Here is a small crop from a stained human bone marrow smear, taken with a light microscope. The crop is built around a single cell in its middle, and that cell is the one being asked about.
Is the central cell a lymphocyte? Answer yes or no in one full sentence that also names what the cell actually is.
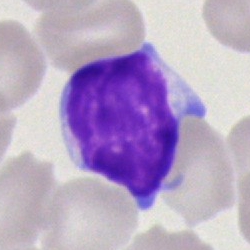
Yes, the cell in the exact middle is a lymphocyte.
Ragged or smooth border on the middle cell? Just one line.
No smooth contour is present; the border is ragged or extended into projections.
